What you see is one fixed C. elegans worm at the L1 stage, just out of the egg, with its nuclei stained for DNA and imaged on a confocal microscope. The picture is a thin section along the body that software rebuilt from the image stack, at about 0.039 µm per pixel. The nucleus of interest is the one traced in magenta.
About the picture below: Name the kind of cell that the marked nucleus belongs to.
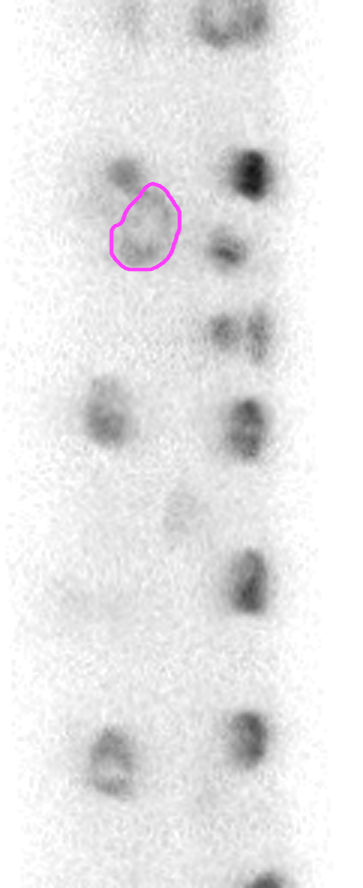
intestinal cell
